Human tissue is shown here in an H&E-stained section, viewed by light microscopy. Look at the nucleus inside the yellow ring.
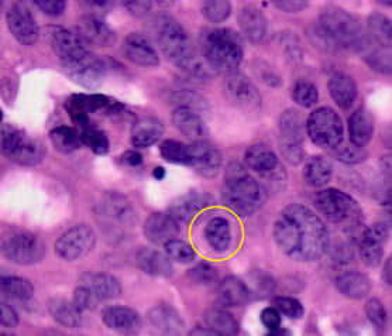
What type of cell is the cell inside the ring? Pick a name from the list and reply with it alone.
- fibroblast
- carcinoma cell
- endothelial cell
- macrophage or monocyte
macrophage or monocyte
